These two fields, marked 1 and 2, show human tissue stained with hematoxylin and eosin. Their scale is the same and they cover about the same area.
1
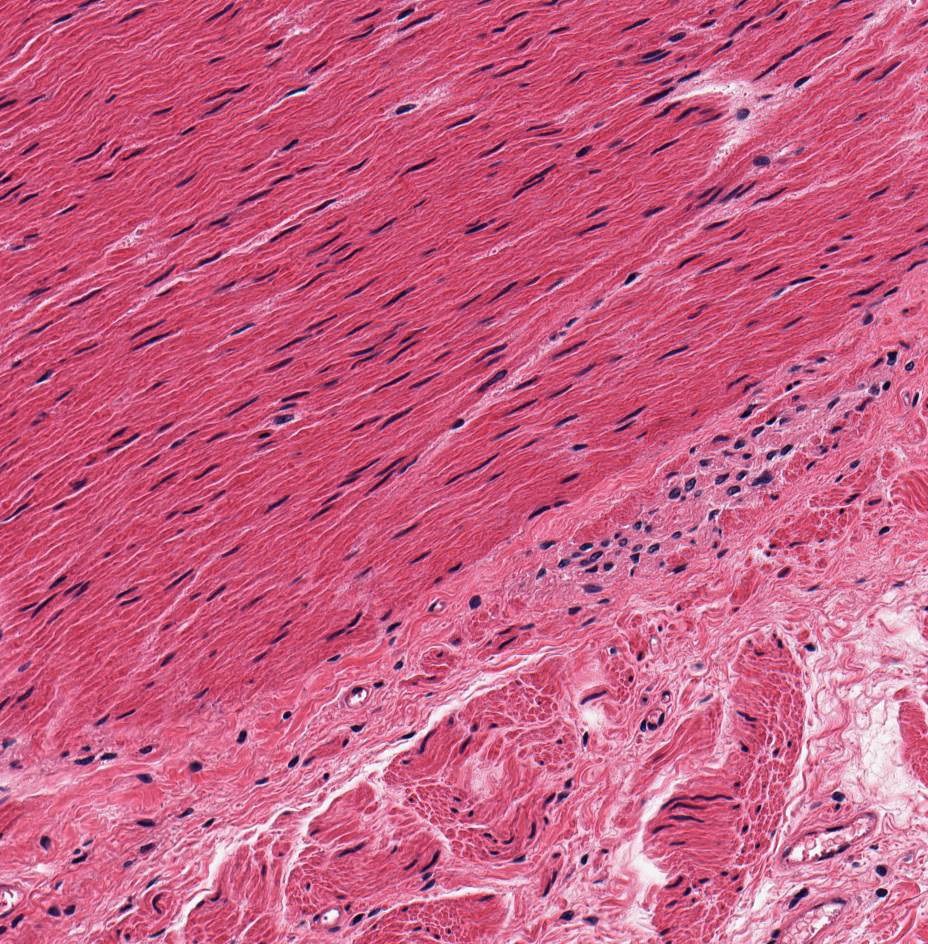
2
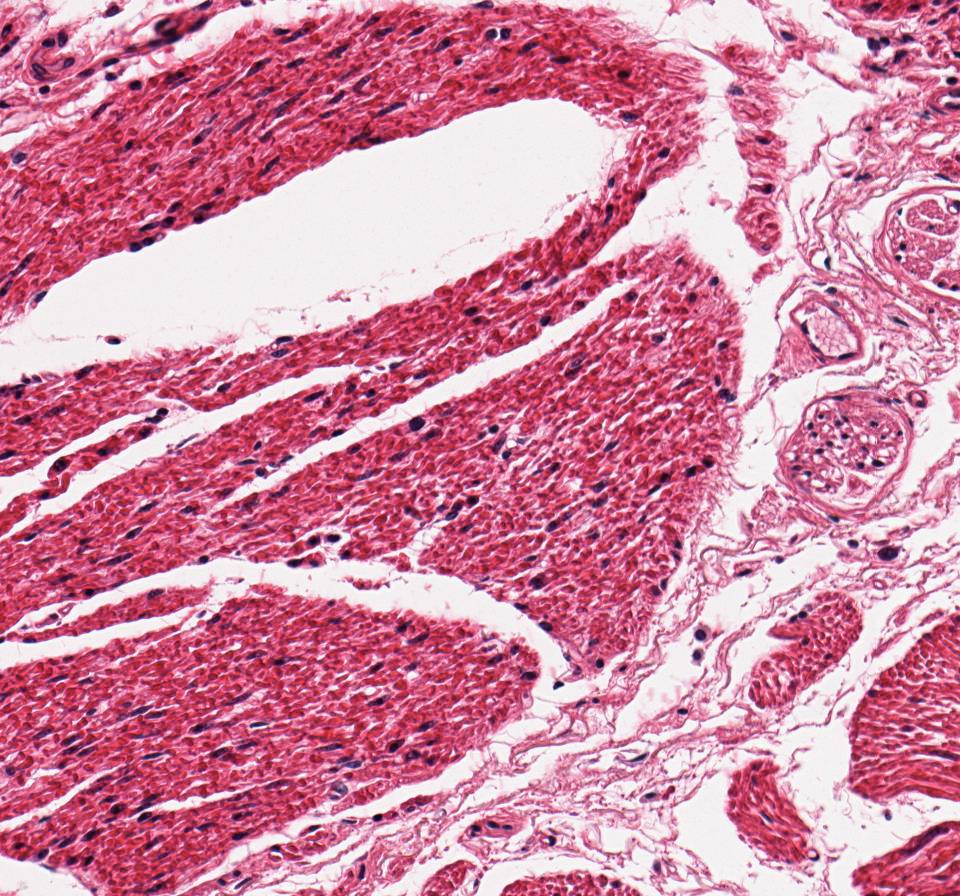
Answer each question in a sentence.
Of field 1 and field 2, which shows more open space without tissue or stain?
It is field 2 in which white space covers the larger part.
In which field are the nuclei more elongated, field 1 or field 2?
The nuclei are more elongated in field 1.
